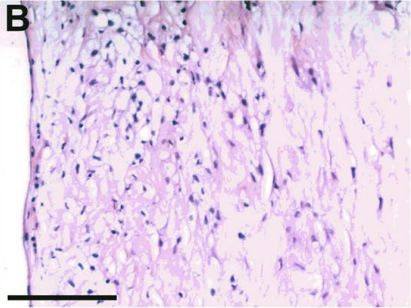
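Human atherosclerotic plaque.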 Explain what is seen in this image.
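A thin line of cells runs along the luminal edge at one side. Beneath it the tissue is loose and irregular rather than layered, with pink fibrous strands enclosing many rounded cells whose cytoplasm is pale and clear, giving a foamy, vacuolated appearance. Their blue nuclei are small, round to oval, and scattered through the field. Deeper, the cells become more elongated and spindle-shaped, lying among wavy pink fibres. The thickened, disorganised tissue differs from the compact, orderly wall of a normal artery.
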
